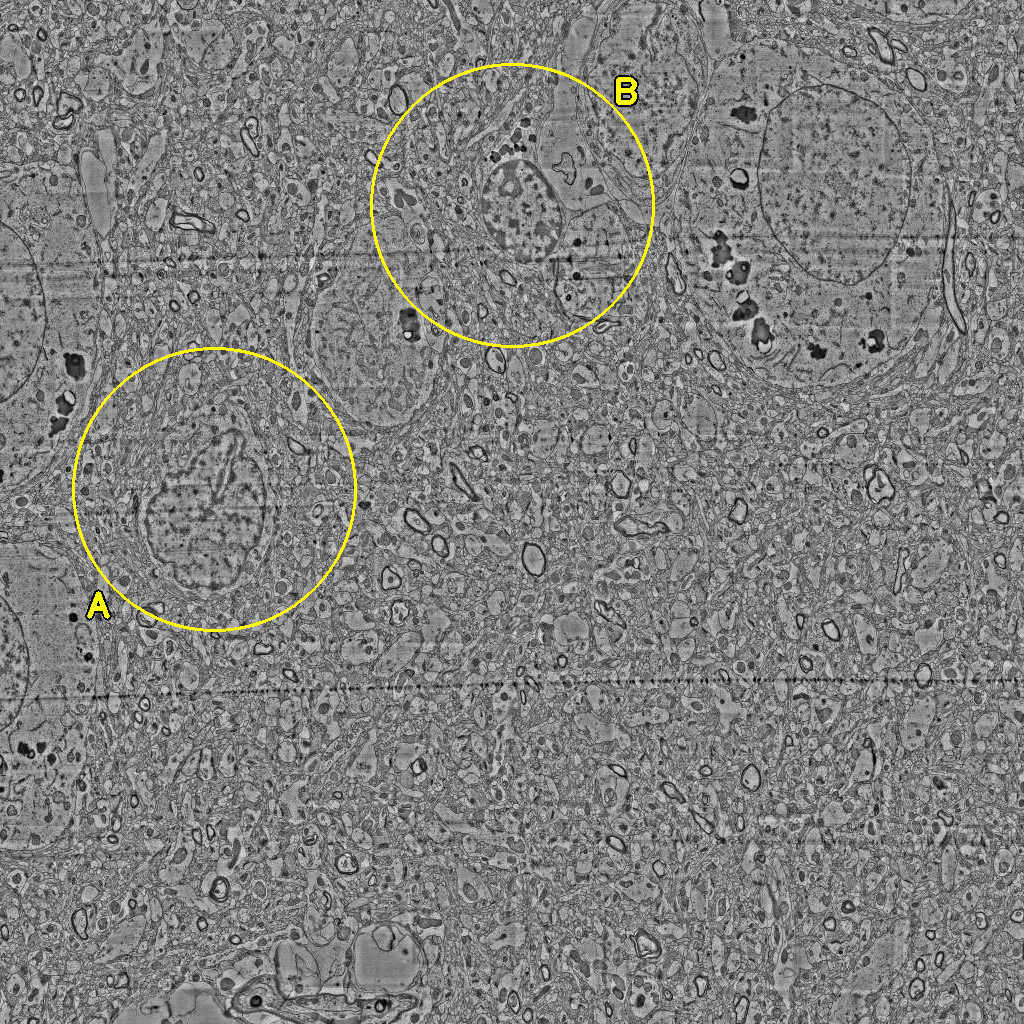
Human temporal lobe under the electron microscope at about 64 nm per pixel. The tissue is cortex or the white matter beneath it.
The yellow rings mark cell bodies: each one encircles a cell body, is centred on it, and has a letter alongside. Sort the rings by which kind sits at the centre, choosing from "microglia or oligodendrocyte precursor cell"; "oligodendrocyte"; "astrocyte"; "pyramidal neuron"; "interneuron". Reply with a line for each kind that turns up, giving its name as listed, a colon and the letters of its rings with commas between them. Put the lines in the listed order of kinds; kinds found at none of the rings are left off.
microglia or oligodendrocyte precursor cell: B
interneuron: A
